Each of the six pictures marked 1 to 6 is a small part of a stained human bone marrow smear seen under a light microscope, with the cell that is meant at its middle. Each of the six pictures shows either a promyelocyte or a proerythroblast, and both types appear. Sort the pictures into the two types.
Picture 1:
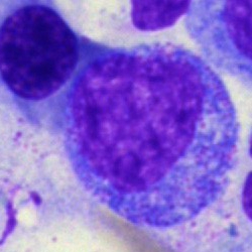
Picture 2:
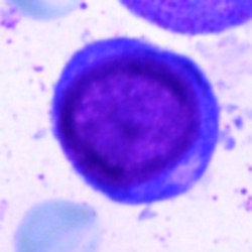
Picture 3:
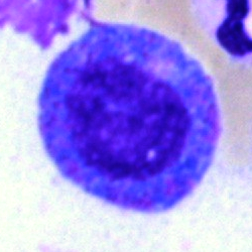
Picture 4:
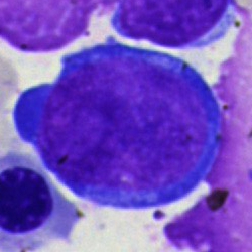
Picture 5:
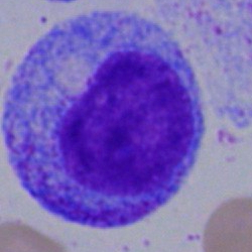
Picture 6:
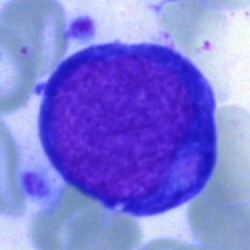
1: promyelocyte
2: proerythroblast
3: promyelocyte
4: proerythroblast
5: promyelocyte
6: proerythroblast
